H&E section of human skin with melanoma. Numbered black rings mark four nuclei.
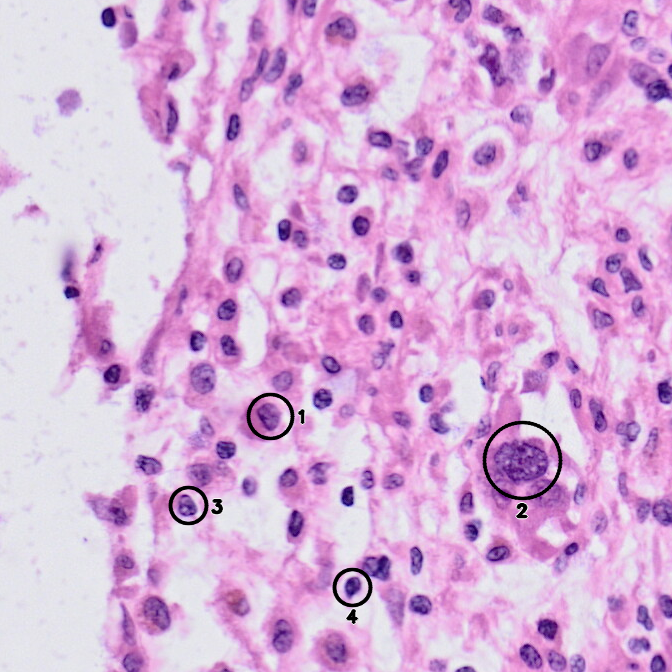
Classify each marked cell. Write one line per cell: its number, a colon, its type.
1: macrophage or monocyte
2: melanoma cell
3: lymphocyte
4: lymphocyte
